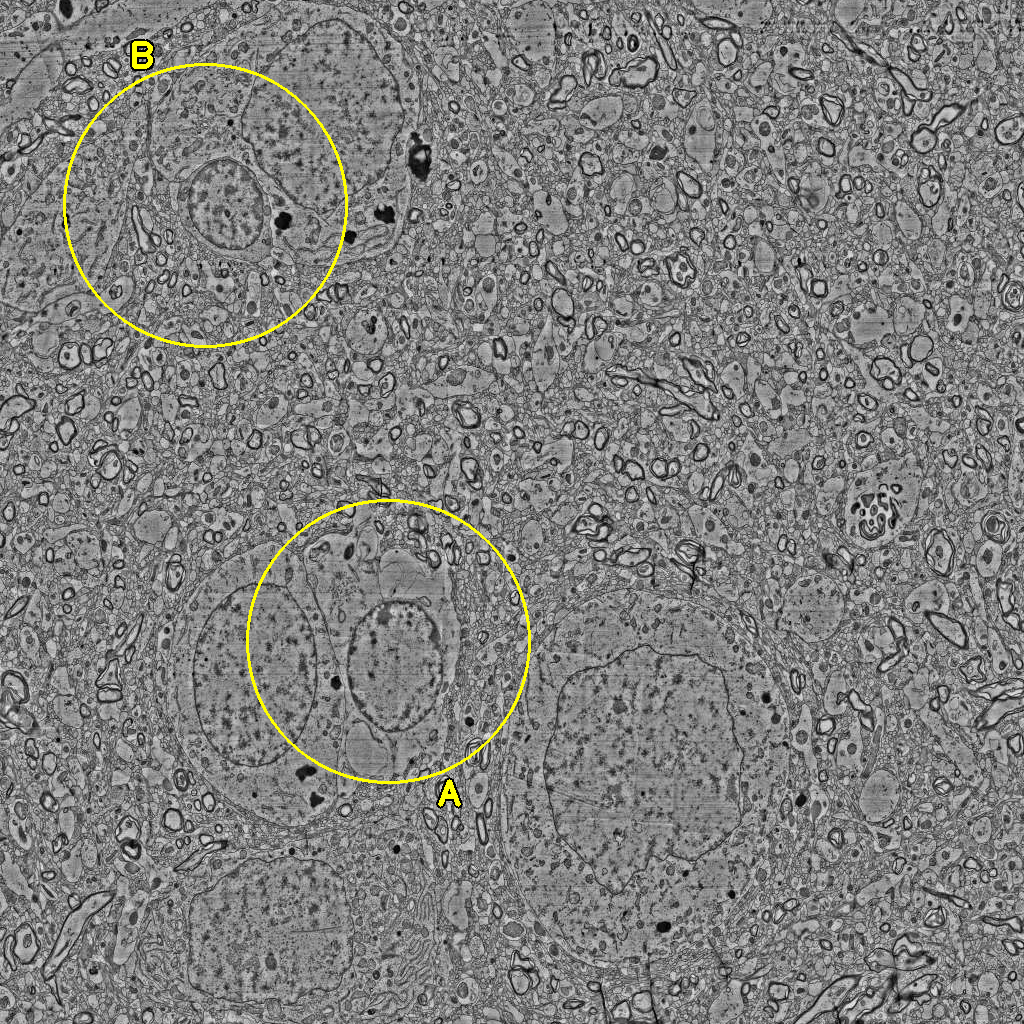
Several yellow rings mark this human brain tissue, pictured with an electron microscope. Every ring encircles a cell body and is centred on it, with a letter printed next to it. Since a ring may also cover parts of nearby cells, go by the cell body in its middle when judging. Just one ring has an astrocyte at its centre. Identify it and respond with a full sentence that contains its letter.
The answer is ring A, whose centre rests on the cell asked for.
